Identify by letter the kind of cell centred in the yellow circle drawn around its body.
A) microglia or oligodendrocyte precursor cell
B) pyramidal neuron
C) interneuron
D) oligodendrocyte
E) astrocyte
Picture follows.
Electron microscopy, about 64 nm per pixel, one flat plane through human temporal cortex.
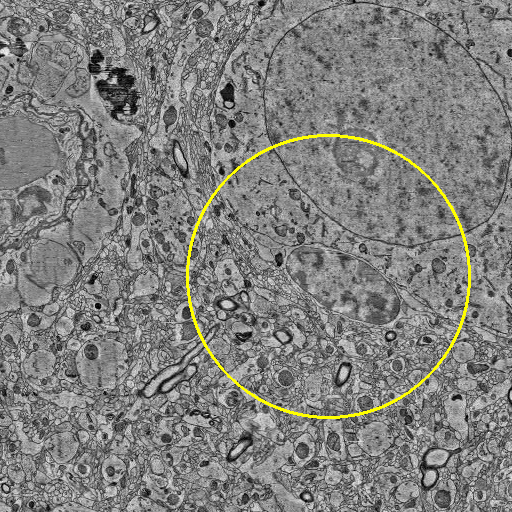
A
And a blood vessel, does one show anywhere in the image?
Yes, there is a blood vessel in the image.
